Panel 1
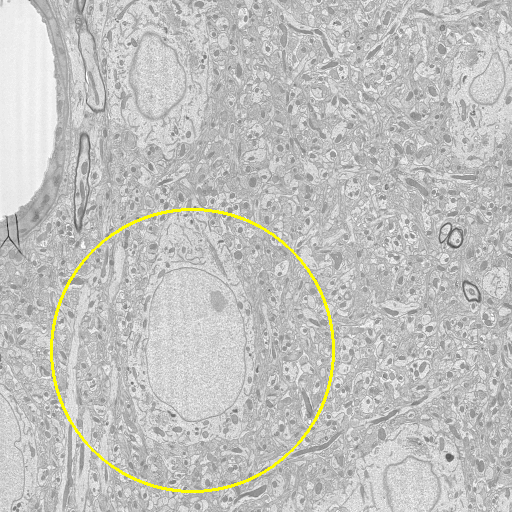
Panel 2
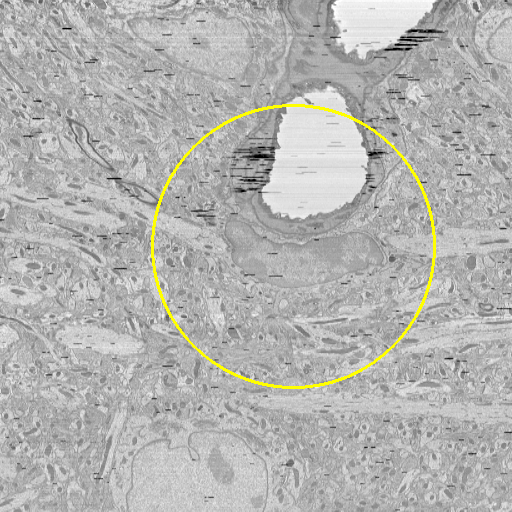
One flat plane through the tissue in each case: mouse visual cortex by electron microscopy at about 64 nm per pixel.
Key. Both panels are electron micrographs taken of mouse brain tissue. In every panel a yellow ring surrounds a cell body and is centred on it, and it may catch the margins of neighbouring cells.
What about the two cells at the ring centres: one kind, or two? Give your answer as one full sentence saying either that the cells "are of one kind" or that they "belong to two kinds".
Across Panels 1 and 2, the two cells at the ring centres belong to two kinds.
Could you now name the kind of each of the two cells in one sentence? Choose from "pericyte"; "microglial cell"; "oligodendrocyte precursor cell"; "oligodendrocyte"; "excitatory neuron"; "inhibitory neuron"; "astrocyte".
The first ring encloses an excitatory neuron; the second ring encloses a microglial cell.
